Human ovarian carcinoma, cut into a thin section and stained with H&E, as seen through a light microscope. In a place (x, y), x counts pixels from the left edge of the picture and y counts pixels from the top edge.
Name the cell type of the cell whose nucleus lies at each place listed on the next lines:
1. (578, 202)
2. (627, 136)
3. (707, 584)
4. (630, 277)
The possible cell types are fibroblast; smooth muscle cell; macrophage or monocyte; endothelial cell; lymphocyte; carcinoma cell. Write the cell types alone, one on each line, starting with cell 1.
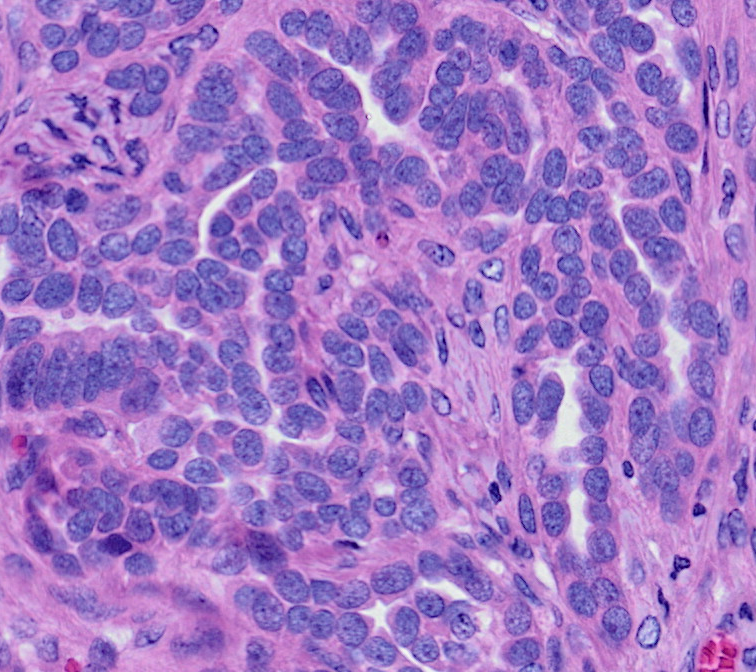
carcinoma cell
carcinoma cell
fibroblast
carcinoma cell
